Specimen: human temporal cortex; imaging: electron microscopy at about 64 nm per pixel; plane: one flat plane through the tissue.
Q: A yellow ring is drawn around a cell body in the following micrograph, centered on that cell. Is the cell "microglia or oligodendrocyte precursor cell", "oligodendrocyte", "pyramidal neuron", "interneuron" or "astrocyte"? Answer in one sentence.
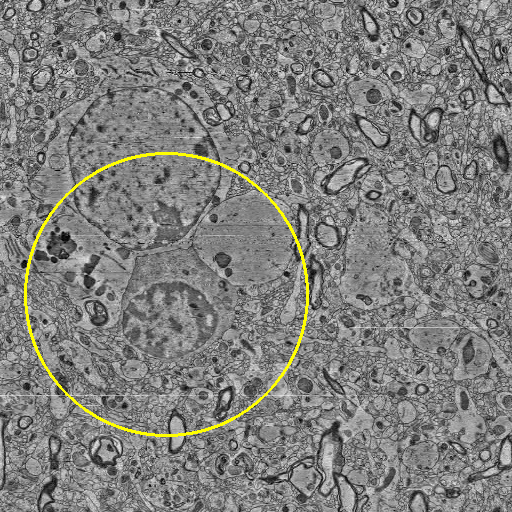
The cell in the center of the ring is an oligodendrocyte.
